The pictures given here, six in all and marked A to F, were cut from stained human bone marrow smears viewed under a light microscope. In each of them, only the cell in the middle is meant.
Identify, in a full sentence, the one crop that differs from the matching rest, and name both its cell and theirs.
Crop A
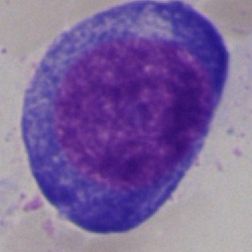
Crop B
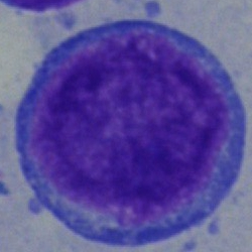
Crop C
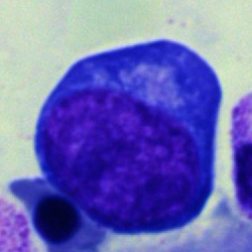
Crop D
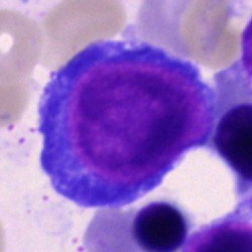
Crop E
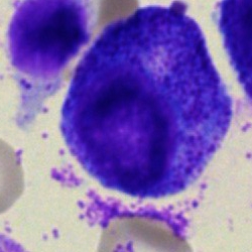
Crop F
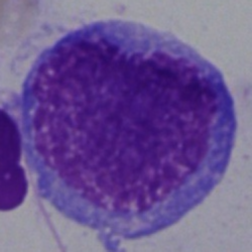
Crop E is the odd one out, being a promyelocyte, while all the other crops show proerythroblasts.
